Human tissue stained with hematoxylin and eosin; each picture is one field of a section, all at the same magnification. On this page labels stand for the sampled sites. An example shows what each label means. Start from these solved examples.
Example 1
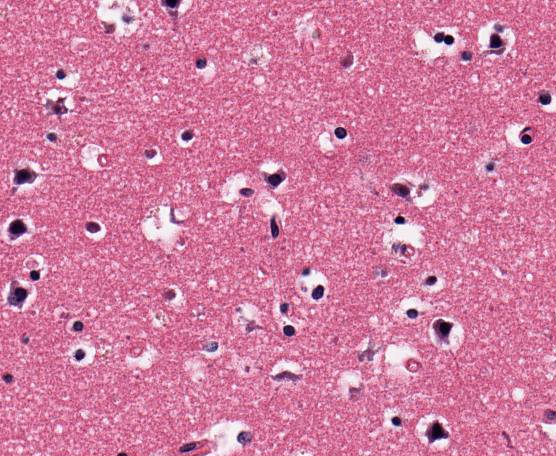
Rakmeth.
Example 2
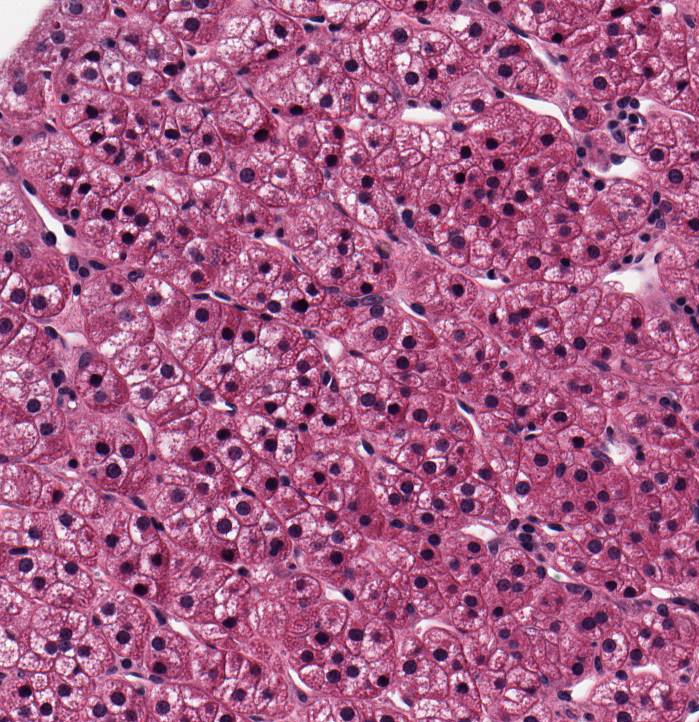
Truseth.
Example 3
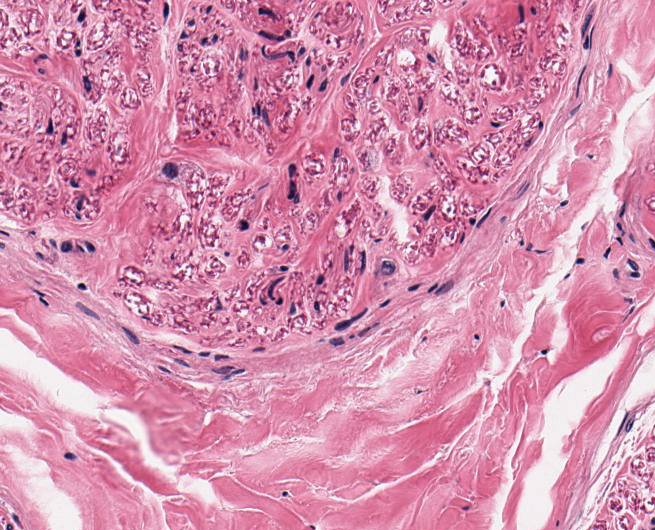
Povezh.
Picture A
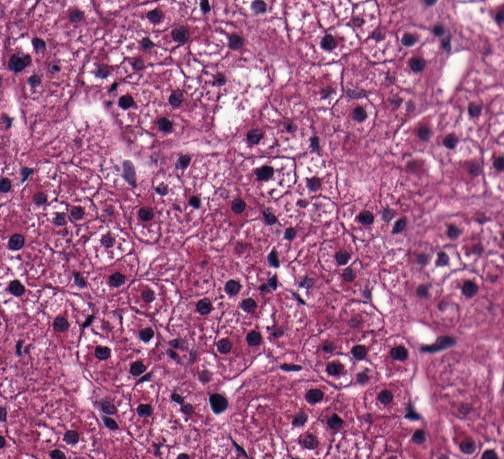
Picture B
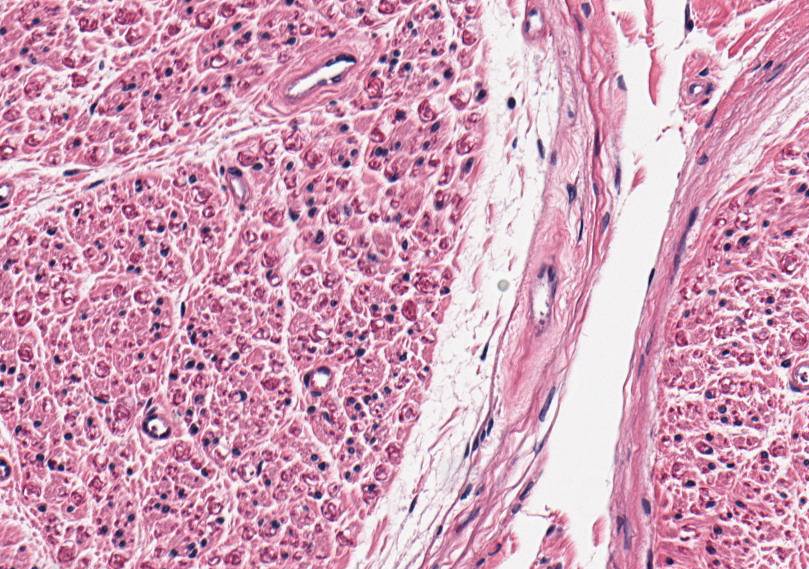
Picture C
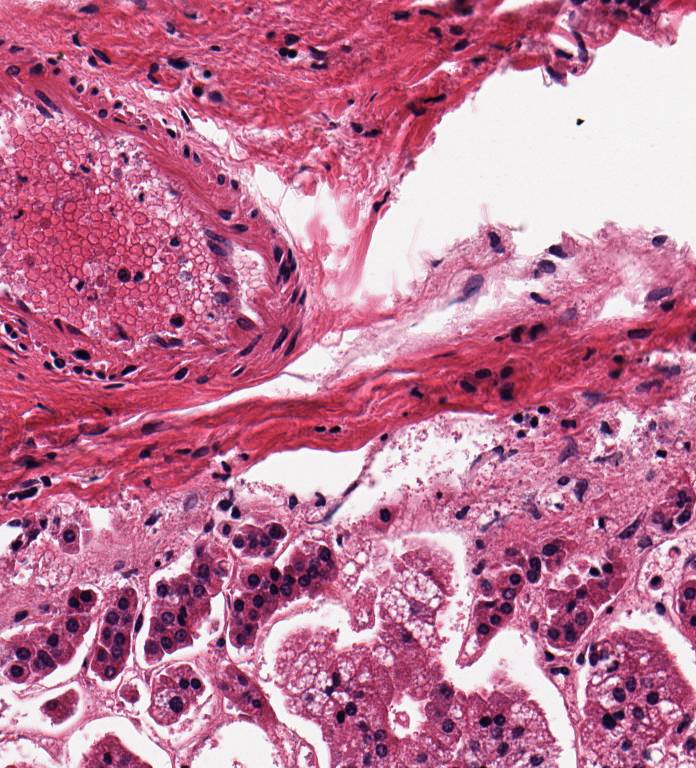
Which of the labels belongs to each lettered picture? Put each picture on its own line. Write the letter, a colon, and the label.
A: Truseth.
B: Povezh.
C: Truseth.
